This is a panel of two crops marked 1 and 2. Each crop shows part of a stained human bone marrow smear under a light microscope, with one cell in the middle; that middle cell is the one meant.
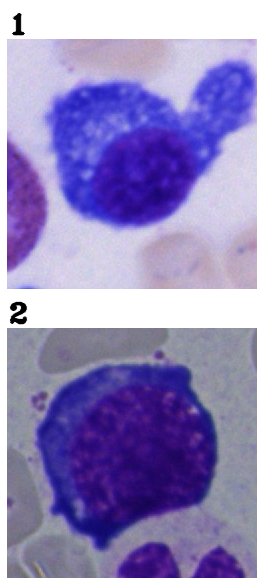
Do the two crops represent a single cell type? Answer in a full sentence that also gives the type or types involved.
No, the middle of crop 1 holds a plasma cell, and the middle of crop 2 holds a proerythroblast.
